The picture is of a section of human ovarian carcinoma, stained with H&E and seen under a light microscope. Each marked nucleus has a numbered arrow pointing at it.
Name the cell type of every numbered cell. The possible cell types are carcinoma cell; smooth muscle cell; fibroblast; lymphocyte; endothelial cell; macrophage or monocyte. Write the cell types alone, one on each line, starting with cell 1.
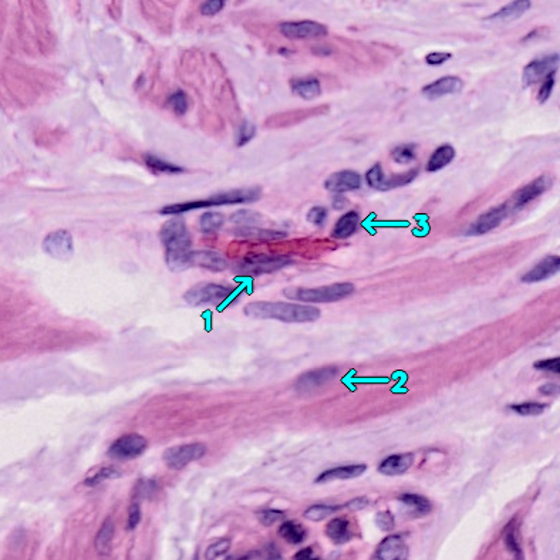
endothelial cell
smooth muscle cell
endothelial cell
